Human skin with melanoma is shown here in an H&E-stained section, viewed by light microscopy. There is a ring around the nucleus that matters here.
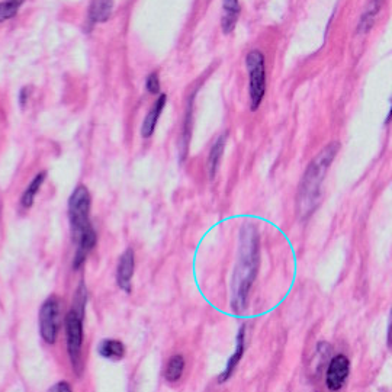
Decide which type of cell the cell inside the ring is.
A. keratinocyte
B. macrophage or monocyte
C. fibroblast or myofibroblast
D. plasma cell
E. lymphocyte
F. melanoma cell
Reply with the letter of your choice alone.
C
